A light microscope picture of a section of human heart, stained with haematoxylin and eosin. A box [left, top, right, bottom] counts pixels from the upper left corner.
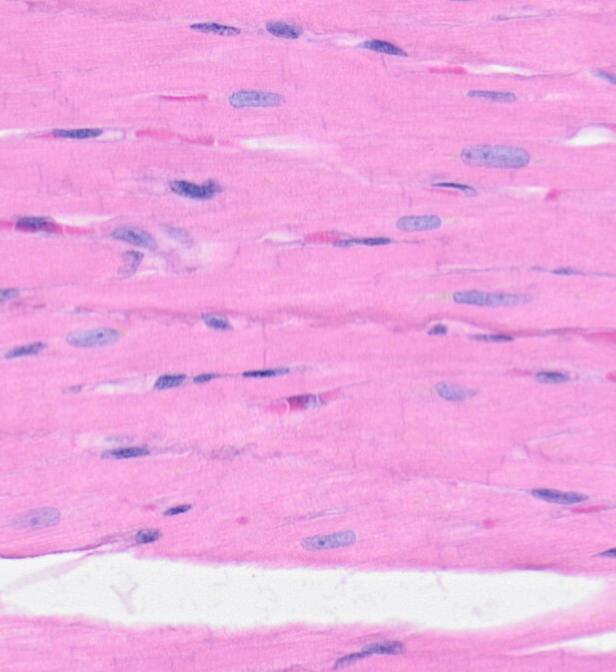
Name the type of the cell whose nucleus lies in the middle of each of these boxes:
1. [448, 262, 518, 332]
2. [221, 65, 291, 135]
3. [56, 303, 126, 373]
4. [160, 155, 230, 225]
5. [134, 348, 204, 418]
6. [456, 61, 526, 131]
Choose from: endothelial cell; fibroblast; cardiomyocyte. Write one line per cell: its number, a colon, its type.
1: cardiomyocyte
2: cardiomyocyte
3: cardiomyocyte
4: endothelial cell
5: fibroblast
6: cardiomyocyte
